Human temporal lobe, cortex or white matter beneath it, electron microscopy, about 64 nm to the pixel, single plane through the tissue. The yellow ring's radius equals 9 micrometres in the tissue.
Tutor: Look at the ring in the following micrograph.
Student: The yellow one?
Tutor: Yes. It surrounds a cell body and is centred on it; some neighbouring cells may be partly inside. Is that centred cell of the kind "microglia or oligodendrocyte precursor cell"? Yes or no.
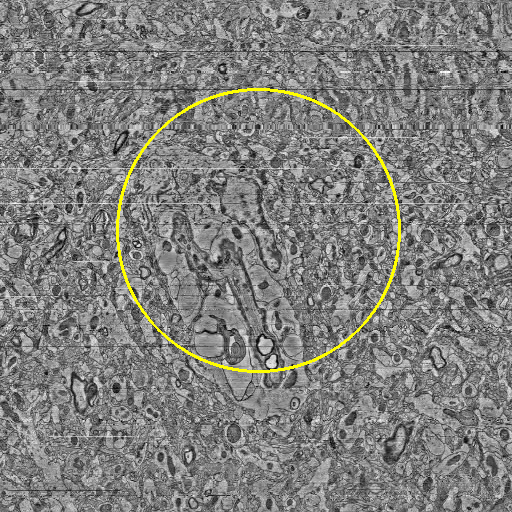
yes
